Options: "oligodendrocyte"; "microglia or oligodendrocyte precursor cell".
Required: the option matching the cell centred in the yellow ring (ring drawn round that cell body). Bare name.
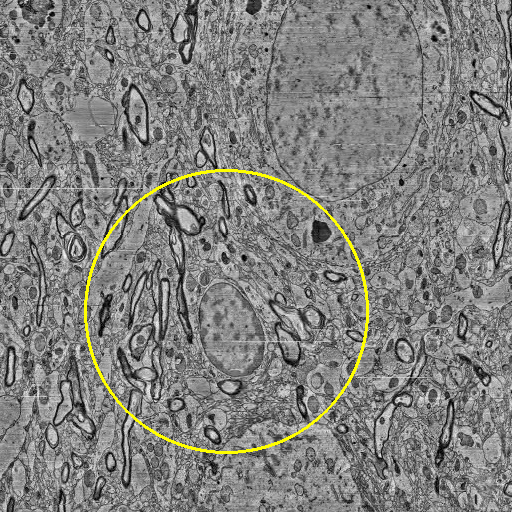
microglia or oligodendrocyte precursor cell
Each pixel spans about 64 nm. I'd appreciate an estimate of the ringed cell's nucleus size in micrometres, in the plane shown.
In this plane, approximately 6 by 4 micrometers, and clearly longer than it is wide.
